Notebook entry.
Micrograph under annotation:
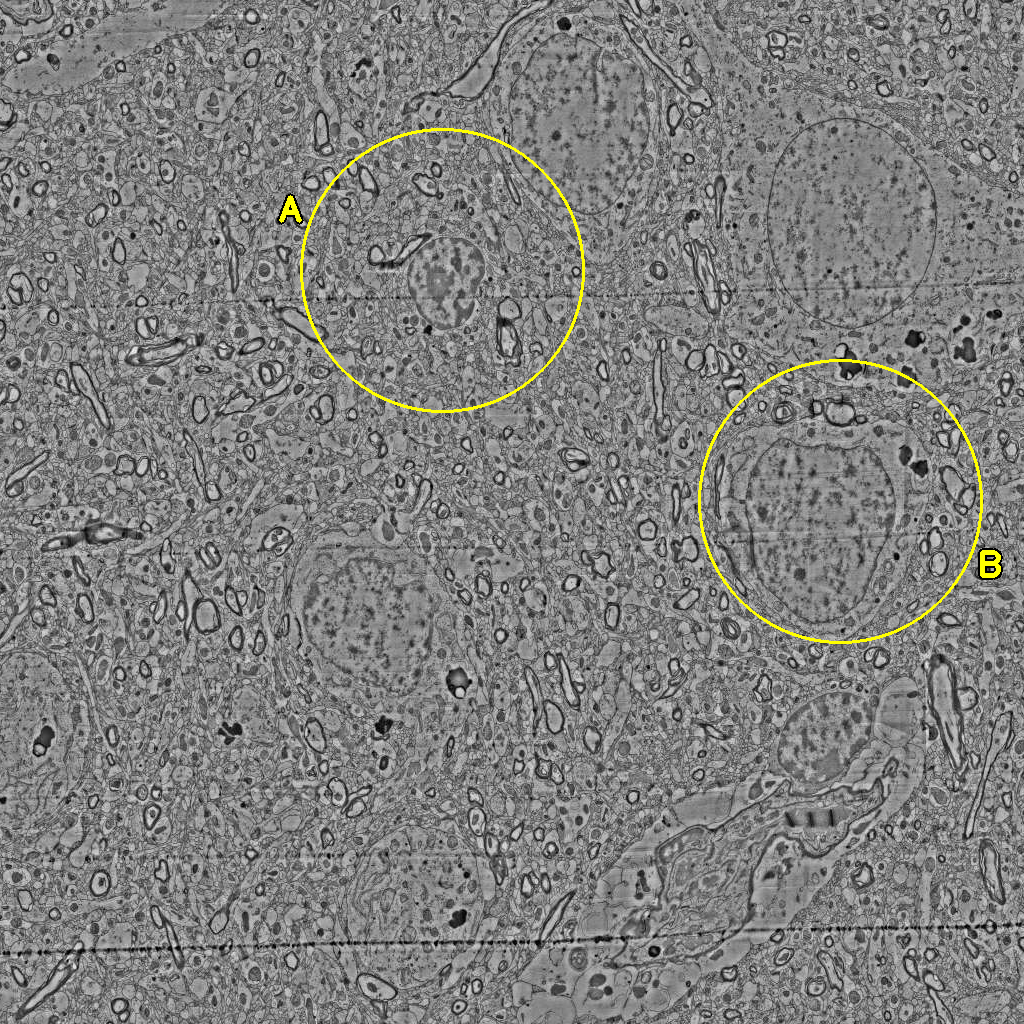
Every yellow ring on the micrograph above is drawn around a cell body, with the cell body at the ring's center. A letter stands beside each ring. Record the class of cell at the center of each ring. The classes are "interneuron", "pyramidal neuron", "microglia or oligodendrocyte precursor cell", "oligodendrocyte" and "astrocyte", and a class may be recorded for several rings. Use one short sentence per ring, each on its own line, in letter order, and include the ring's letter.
Ring A is centered on a microglial cell or oligodendrocyte precursor cell.
Ring B is centered on a pyramidal neuron.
